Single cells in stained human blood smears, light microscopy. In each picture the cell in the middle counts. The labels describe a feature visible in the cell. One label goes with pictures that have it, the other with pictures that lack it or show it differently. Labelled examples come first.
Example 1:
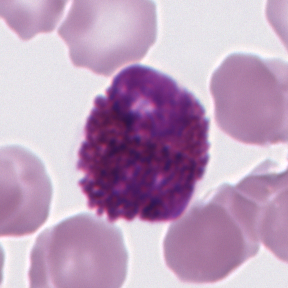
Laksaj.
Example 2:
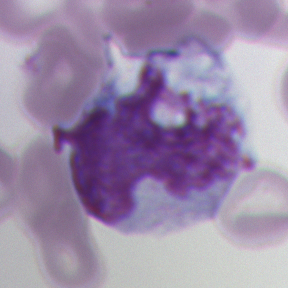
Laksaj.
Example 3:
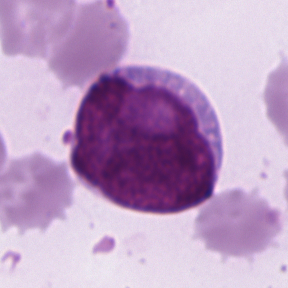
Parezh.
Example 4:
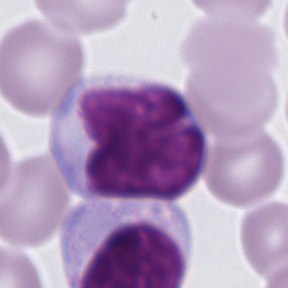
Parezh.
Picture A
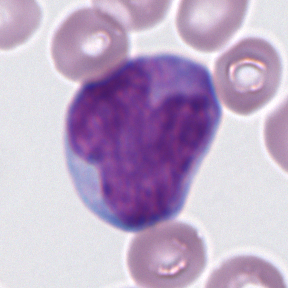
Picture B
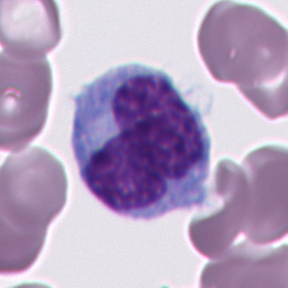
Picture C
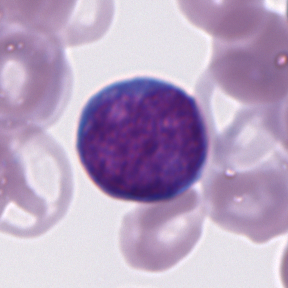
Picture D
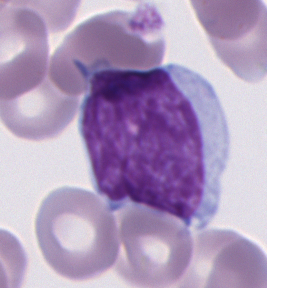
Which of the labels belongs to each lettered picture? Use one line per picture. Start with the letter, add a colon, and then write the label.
A: Parezh.
B: Laksaj.
C: Parezh.
D: Laksaj.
